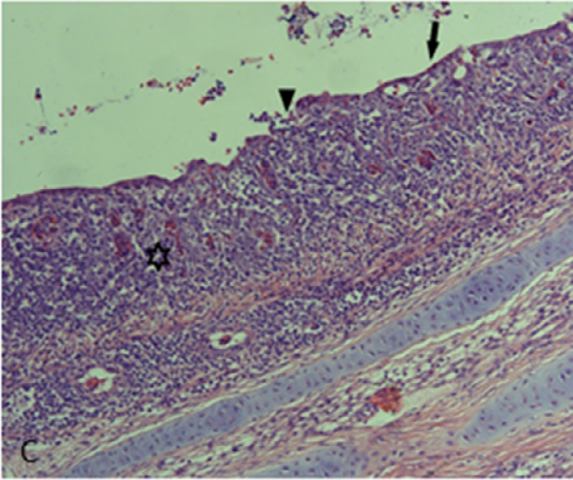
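Tracheal wall with a mucosa heavily infiltrated by mononuclear inflammatory cells, seen as a broad, dense sheet of small round dark-purple nuclei. The infiltrate fills the mucosa from the luminal surface down to the pale blue-grey cartilage plates below. Scattered blood vessels with red cells lie within the infiltrated layer. The surface epithelium is ragged and broken, with no clear ciliated lining, and detached debris floats in the lumen. Beneath the cartilage lies looser pink connective tissue with vessels.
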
